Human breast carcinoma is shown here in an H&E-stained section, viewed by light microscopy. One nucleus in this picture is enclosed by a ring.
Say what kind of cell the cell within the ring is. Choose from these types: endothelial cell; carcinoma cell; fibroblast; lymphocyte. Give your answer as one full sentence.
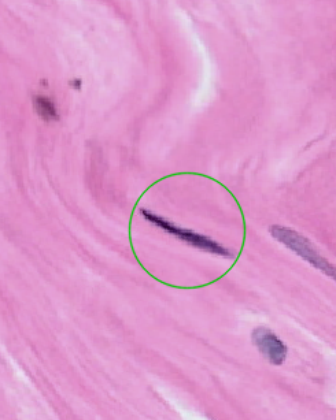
The cell type of the cell within the ring is that of a fibroblast.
